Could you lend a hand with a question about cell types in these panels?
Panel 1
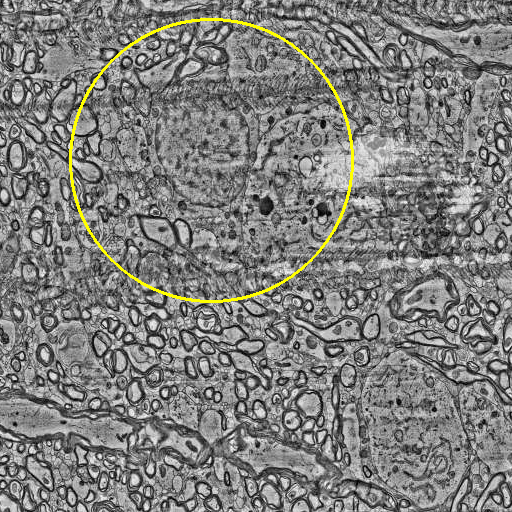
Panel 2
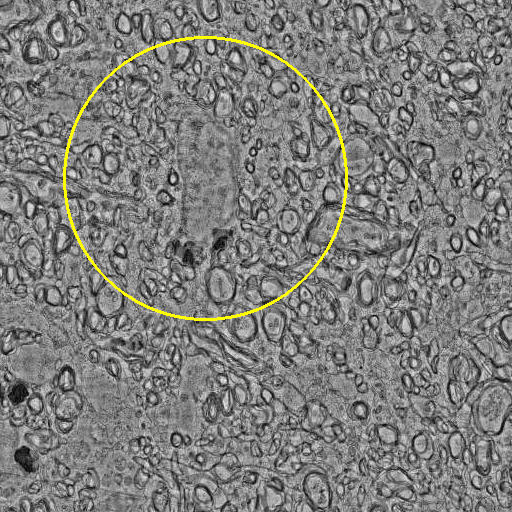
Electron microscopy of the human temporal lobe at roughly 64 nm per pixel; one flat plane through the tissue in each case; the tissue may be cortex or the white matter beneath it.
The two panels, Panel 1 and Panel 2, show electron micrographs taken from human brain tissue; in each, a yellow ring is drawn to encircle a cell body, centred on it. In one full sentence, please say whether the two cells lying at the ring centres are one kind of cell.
Yes, the cells at the ring centres in the two panels are one kind of cell.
